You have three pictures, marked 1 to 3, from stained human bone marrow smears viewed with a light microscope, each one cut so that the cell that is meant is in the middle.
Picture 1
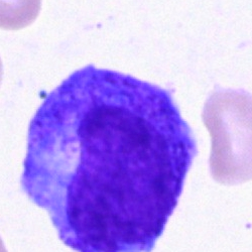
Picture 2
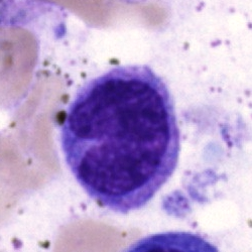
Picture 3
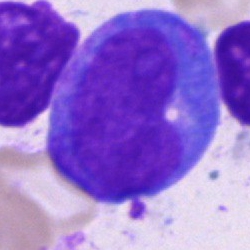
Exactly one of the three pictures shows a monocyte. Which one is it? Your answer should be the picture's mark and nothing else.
2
